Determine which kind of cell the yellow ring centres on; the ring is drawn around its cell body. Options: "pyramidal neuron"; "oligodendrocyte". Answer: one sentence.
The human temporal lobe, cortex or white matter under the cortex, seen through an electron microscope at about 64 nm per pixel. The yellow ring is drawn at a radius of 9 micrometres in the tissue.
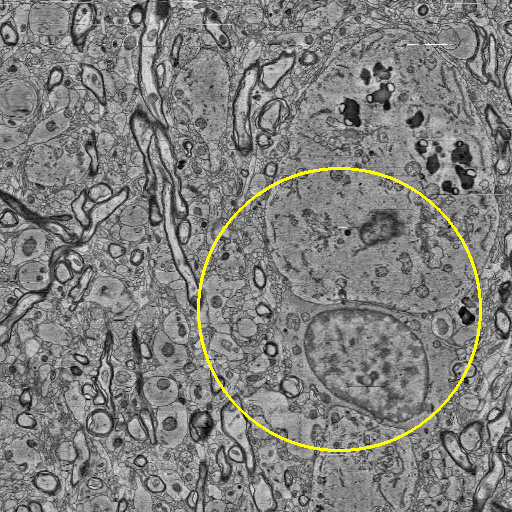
The ring centres on an oligodendrocyte.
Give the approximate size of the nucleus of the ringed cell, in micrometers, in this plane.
The nucleus comes to roughly 9 by 6 micrometres in this plane.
